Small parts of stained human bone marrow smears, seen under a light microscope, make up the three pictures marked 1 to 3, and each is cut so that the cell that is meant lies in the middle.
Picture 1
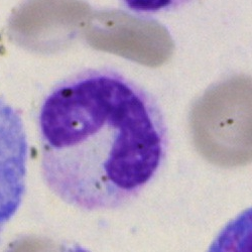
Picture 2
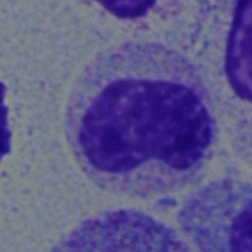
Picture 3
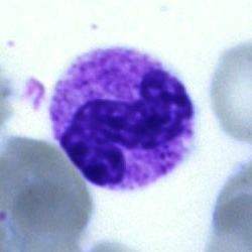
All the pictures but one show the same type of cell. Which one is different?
2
